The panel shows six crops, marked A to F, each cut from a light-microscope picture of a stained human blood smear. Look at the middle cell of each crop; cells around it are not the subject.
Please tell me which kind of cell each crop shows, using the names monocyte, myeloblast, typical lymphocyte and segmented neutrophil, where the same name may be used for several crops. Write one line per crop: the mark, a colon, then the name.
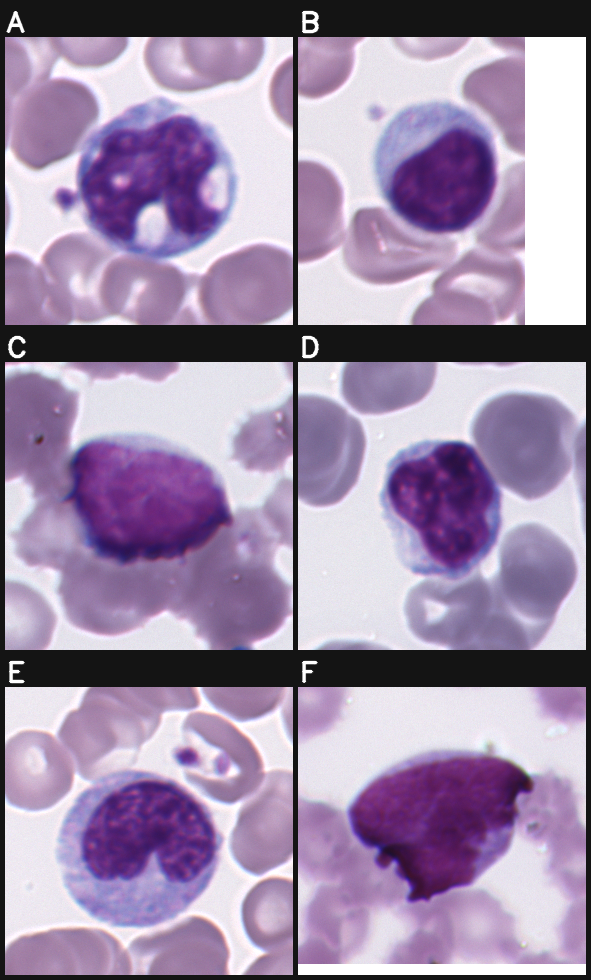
A: monocyte
B: typical lymphocyte
C: myeloblast
D: typical lymphocyte
E: monocyte
F: myeloblast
